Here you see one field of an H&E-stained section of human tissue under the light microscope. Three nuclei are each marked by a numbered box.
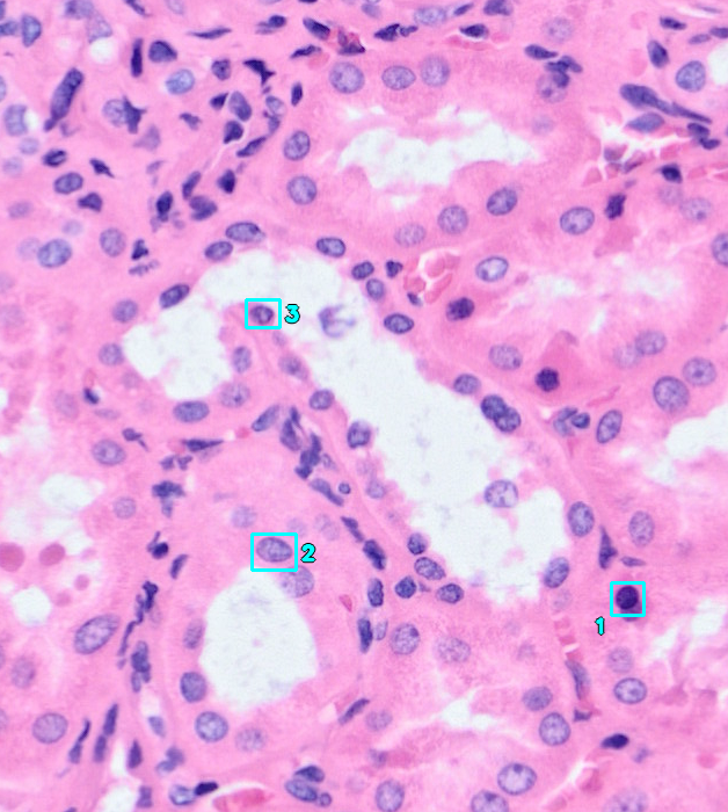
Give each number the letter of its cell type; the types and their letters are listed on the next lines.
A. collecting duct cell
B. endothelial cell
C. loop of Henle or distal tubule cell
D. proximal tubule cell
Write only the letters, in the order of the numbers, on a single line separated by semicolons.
D; C; C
